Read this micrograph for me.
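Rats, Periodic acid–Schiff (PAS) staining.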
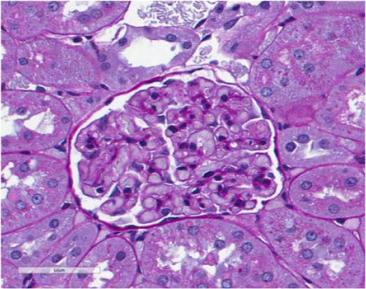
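A renal glomerulus within its capsule is shown among cross-sectioned tubules, with thin magenta basement membranes and purple nuclei. The capillary loops of the tuft are open and delicately outlined, with little magenta material between them. A clear space separates the tuft from the thin capsule.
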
